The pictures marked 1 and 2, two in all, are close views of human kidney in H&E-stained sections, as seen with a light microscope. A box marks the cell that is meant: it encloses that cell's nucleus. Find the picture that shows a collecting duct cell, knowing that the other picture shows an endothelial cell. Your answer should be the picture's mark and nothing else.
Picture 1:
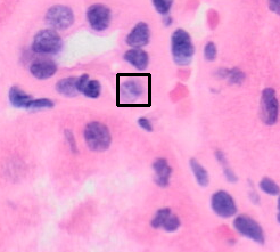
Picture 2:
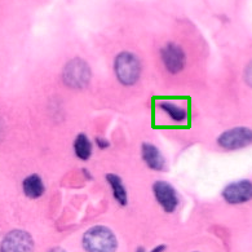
1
